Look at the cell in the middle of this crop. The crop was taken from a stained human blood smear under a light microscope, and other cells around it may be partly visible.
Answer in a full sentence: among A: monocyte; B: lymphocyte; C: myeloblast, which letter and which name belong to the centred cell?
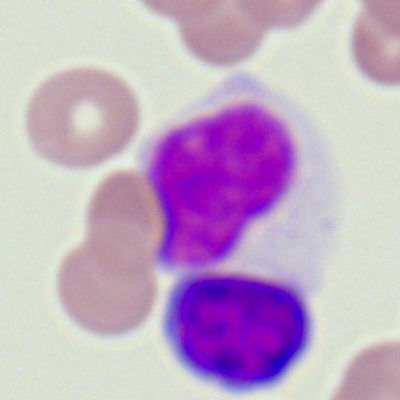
The cell placed in the middle is a lymphocyte; option B is correct.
